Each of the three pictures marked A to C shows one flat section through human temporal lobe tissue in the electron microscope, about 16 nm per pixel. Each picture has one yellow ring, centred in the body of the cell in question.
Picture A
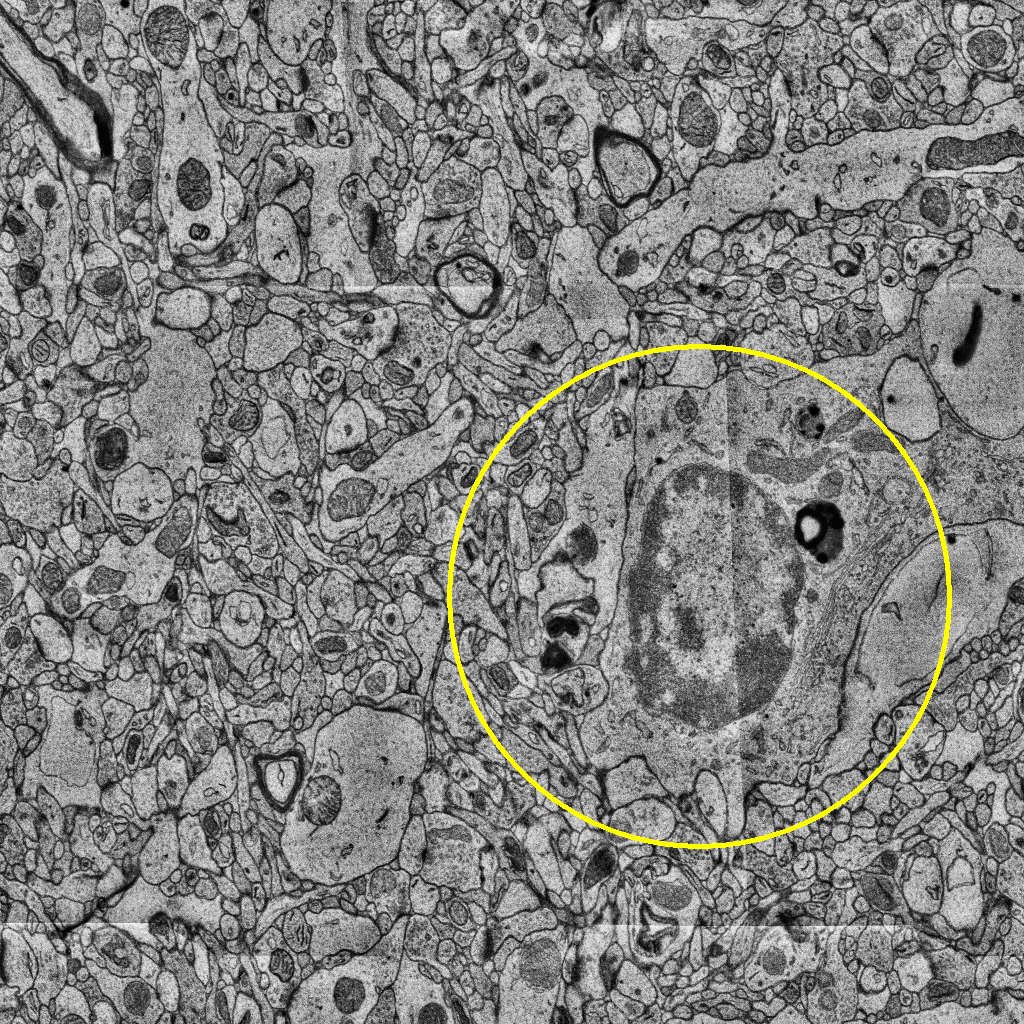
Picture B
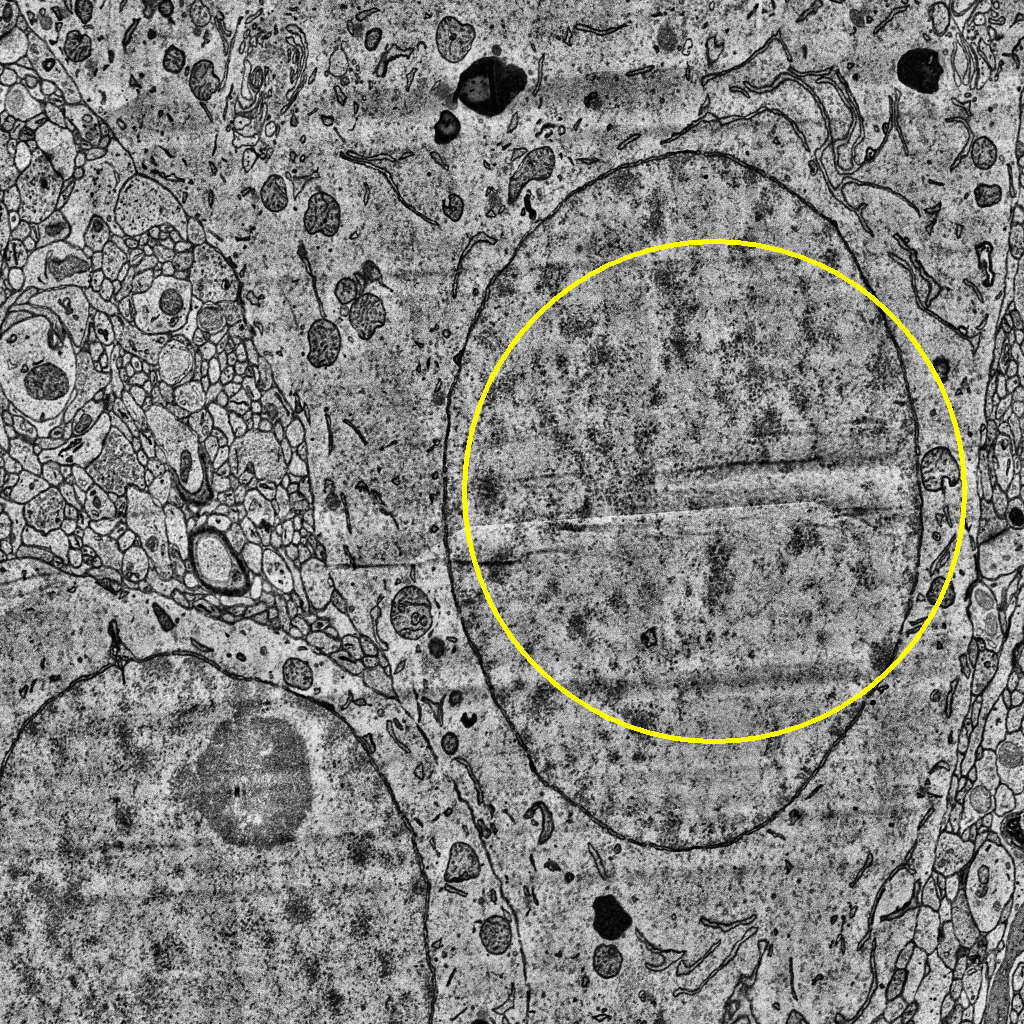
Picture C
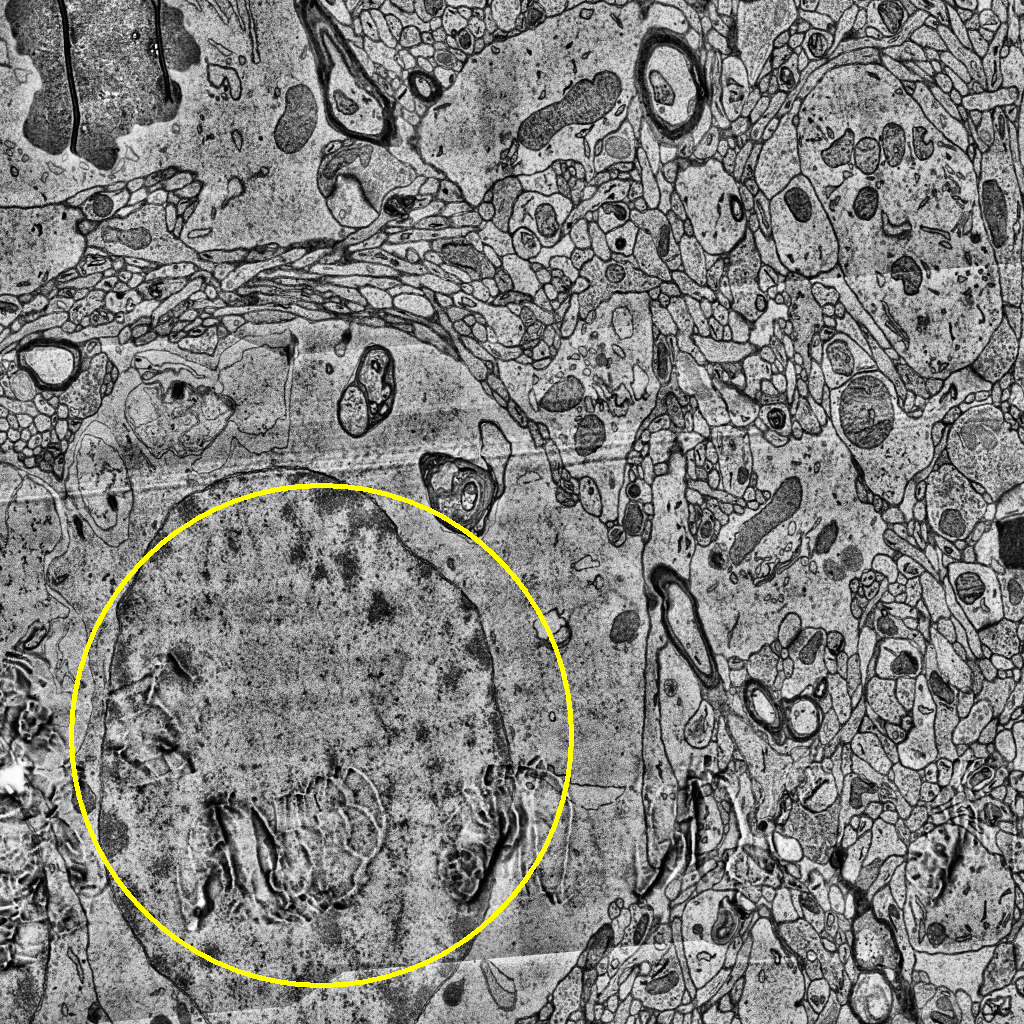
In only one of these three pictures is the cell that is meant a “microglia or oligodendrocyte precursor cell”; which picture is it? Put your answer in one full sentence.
Picture A is the one that shows the “microglia or oligodendrocyte precursor cell”.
